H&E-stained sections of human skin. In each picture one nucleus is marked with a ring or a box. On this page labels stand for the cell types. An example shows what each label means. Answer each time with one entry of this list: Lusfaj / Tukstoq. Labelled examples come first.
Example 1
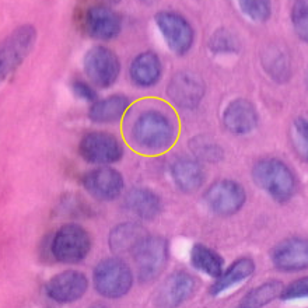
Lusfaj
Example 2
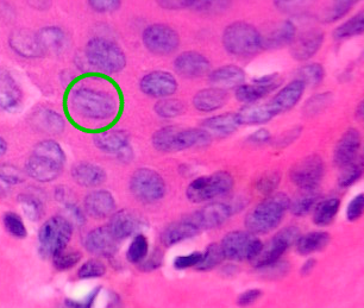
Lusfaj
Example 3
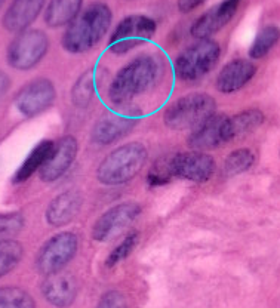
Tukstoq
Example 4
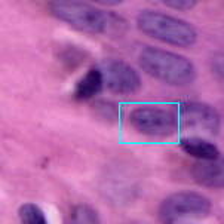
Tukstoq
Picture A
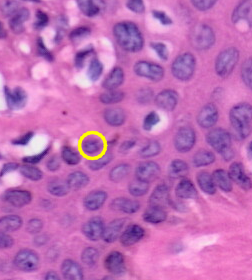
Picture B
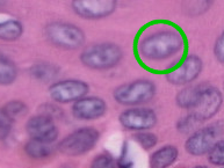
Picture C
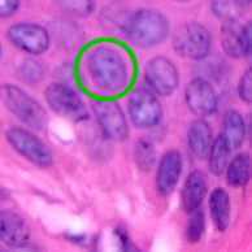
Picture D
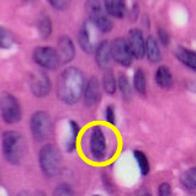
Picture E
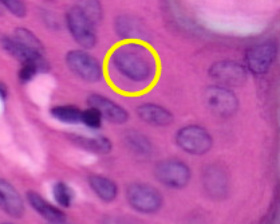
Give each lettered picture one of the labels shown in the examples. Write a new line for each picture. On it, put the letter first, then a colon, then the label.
A: Tukstoq
B: Lusfaj
C: Lusfaj
D: Tukstoq
E: Lusfaj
